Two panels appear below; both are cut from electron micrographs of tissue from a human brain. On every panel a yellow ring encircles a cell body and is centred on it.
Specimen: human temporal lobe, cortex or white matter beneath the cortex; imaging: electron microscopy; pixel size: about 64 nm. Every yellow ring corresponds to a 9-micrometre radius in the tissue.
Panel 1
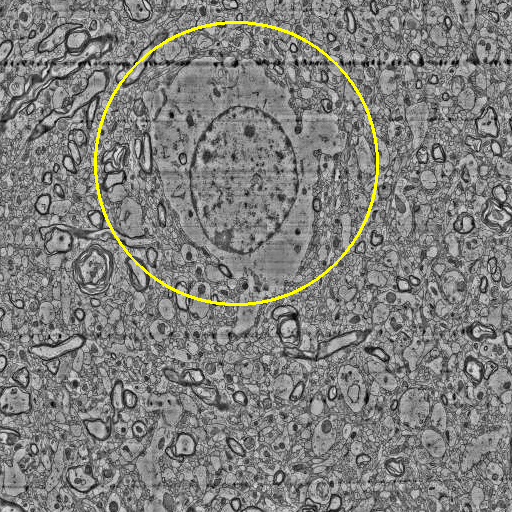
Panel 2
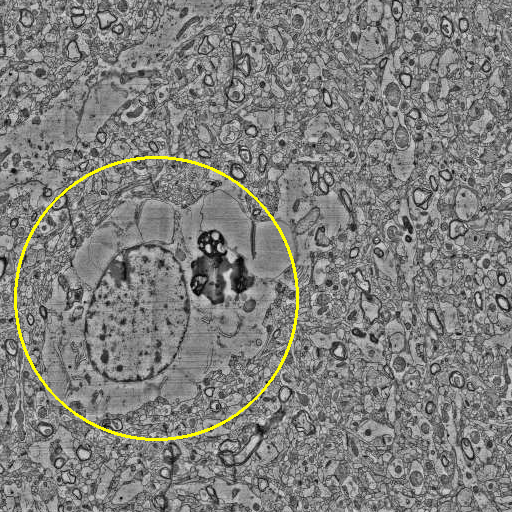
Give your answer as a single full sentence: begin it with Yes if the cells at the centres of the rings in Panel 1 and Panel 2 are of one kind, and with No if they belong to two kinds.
Yes, the cells in the middle of the rings in Panels 1 and 2 are of one kind.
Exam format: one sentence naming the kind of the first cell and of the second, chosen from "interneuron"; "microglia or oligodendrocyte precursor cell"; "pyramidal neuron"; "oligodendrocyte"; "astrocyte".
The ring centre holds an astrocyte in each of the two pictures.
